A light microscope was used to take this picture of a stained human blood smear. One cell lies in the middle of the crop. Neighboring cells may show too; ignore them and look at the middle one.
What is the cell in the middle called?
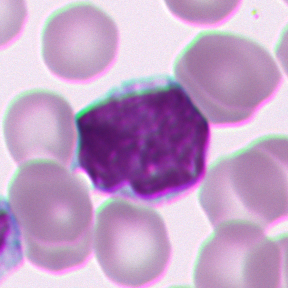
typical lymphocyte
